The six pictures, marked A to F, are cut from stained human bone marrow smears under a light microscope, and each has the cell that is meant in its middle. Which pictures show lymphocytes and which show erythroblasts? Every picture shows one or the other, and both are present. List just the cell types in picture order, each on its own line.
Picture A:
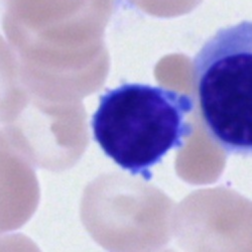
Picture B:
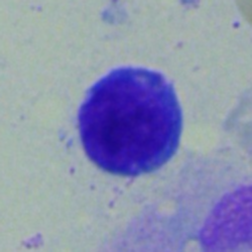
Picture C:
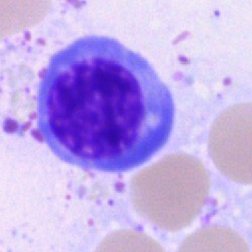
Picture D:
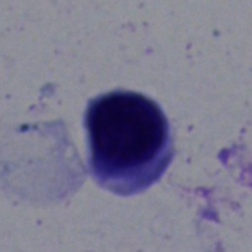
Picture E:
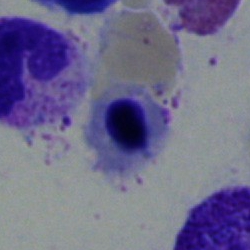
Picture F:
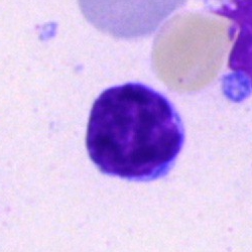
lymphocyte
lymphocyte
erythroblast
erythroblast
erythroblast
lymphocyte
